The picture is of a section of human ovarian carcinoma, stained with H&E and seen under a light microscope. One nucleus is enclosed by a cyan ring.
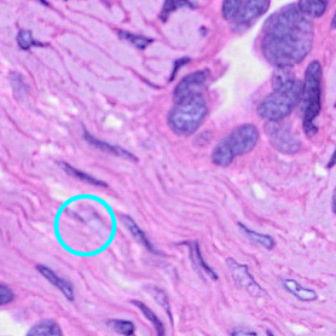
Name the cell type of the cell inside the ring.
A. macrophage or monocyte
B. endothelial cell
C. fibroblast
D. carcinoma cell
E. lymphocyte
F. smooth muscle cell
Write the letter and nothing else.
C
